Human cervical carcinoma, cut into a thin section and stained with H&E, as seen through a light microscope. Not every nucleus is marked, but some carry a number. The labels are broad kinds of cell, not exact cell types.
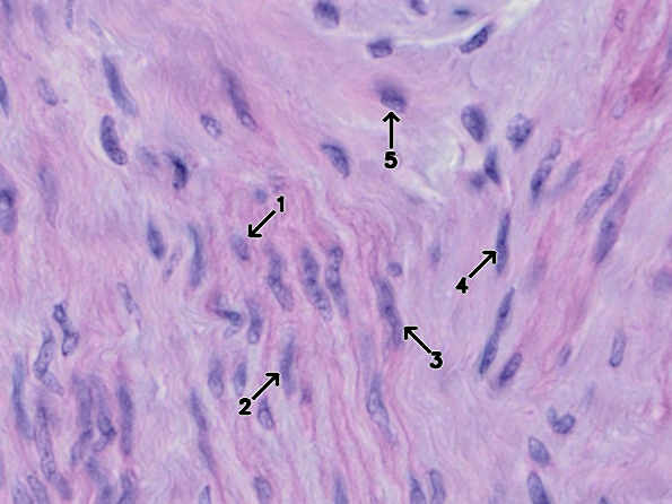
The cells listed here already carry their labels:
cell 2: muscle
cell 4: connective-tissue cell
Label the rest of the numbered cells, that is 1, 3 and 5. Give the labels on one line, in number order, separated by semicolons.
muscle; muscle; connective-tissue cell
